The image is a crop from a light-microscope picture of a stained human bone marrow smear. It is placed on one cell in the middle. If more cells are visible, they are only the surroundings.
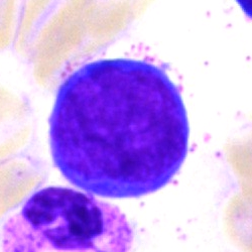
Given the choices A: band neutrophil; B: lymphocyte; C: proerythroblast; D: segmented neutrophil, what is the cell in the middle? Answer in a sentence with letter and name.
The centrally positioned cell is a proerythroblast, consistent with option C, which is correct.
